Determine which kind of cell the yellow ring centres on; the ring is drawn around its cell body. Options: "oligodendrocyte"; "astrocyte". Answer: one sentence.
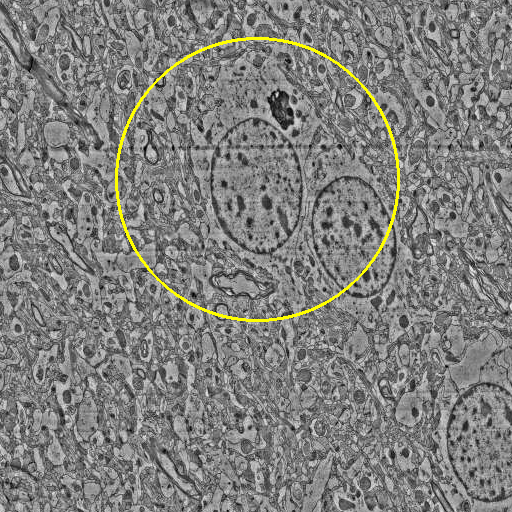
The ring centres on an astrocyte.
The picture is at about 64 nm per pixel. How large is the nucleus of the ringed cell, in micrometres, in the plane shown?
In this plane the nucleus is about 9 micrometres by 6.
